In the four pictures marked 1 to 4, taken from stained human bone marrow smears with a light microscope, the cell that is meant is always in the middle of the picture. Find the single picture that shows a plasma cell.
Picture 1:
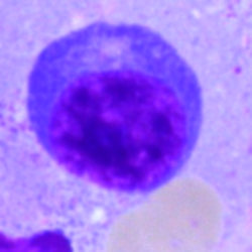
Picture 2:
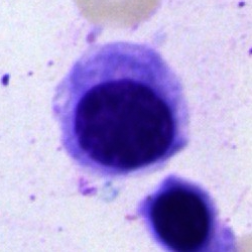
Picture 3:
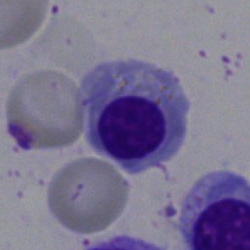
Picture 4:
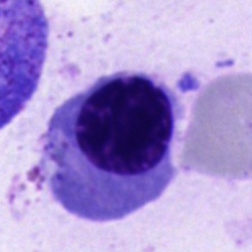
1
